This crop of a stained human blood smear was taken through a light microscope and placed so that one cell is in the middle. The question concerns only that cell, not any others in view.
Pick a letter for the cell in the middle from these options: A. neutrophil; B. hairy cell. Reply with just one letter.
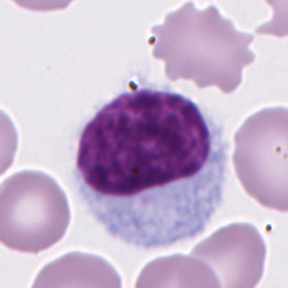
B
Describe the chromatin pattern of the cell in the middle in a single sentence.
The chromatin in this nucleus is coarsely clumped.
